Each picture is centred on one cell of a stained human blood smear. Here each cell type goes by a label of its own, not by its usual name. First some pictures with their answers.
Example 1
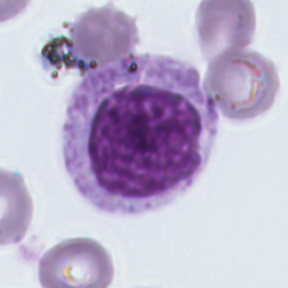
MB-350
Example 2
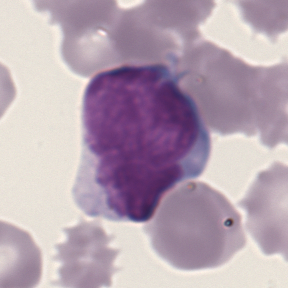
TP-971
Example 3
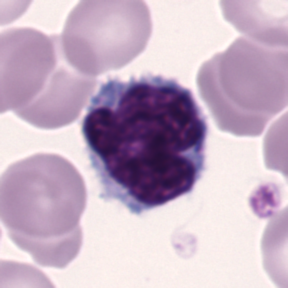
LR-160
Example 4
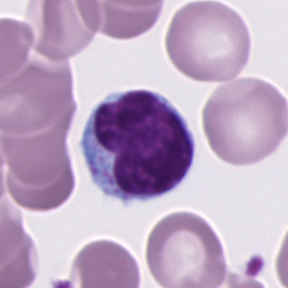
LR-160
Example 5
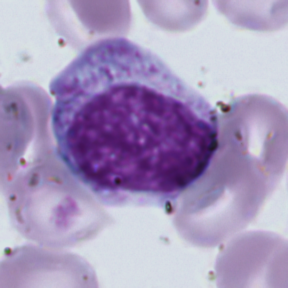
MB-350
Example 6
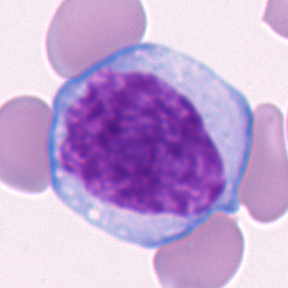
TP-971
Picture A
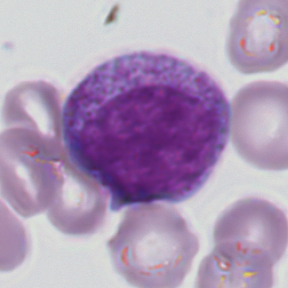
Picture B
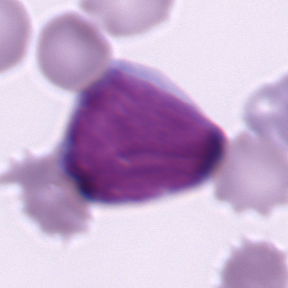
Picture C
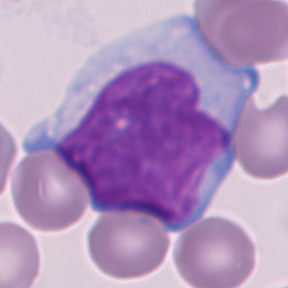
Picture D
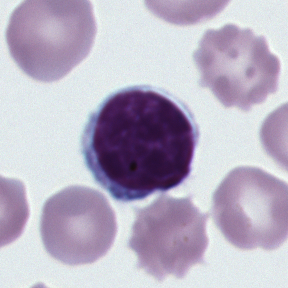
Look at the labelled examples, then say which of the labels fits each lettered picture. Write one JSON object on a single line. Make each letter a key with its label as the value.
{"A": "MB-350", "B": "TP-971", "C": "TP-971", "D": "LR-160"}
